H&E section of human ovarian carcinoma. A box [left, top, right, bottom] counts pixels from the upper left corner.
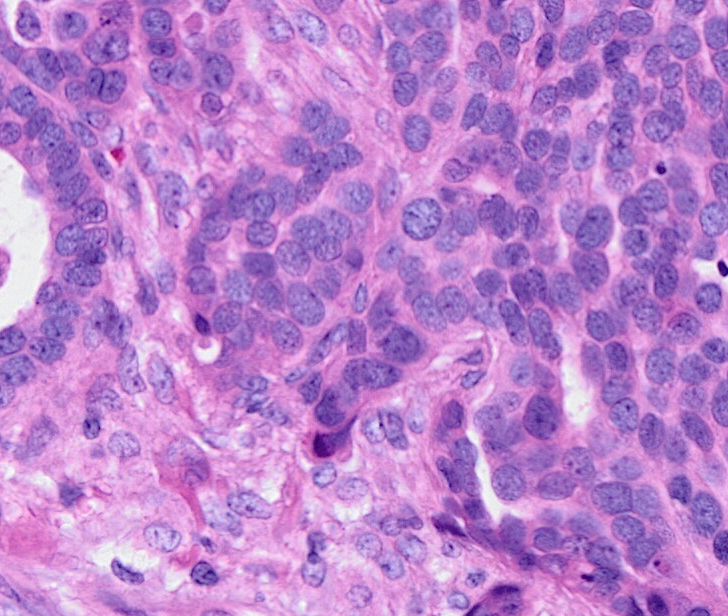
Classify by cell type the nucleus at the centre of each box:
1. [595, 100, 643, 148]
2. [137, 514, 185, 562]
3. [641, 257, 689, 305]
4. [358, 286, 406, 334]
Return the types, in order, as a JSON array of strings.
["carcinoma cell", "fibroblast", "carcinoma cell", "carcinoma cell"]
